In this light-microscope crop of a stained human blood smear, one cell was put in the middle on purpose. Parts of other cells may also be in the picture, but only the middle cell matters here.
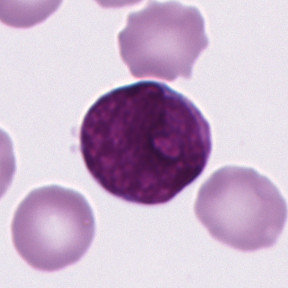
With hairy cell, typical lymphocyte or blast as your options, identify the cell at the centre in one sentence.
Answering briefly, the cell in the middle is a blast.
